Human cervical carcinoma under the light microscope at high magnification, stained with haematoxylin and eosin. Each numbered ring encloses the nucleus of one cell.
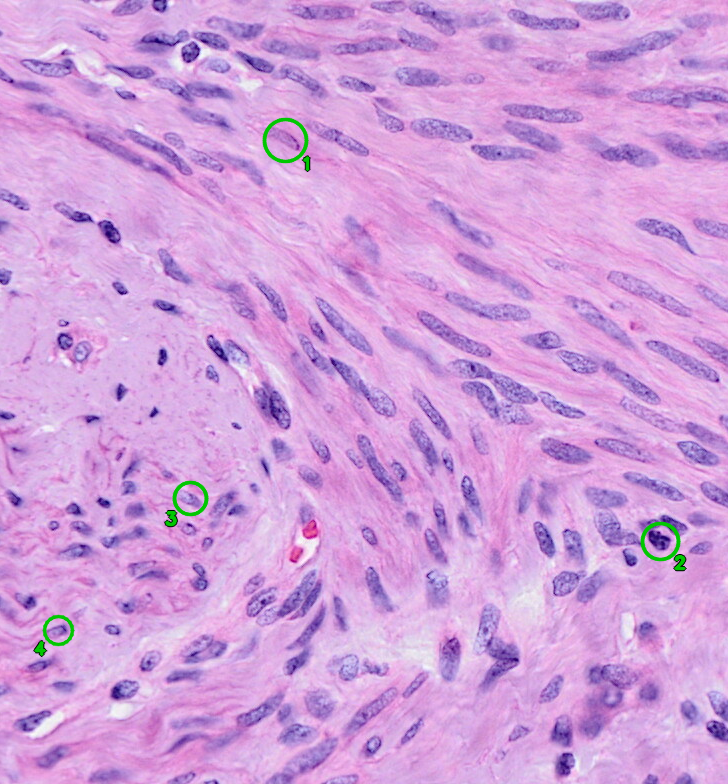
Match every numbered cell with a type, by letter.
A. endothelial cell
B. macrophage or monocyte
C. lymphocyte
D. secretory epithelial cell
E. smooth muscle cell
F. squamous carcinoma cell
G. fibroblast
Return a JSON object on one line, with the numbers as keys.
{"1": "E", "2": "C", "3": "E", "4": "E"}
